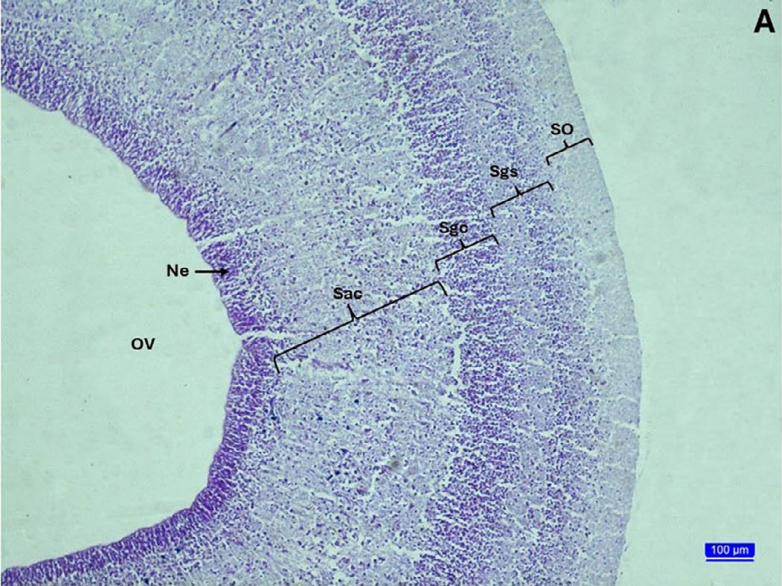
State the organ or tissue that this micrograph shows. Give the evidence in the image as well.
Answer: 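A curved wall of nervous tissue surrounds a large empty ventricular cavity. The wall is arranged in several concentric bands of differing cell density. A dense cell layer lines the cavity.
Optic tectum.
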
